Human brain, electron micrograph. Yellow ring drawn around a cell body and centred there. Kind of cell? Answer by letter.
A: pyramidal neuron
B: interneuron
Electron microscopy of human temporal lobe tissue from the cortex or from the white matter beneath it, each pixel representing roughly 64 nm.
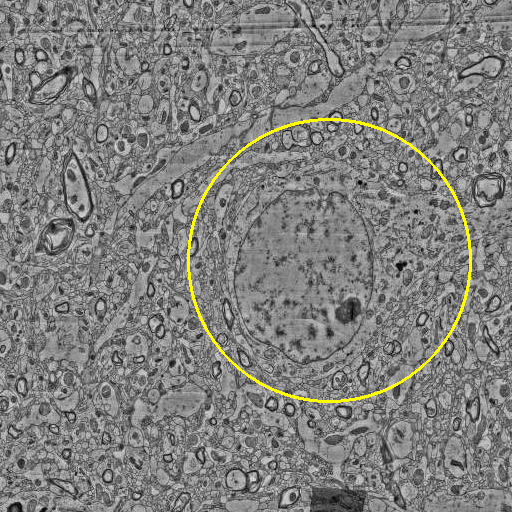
A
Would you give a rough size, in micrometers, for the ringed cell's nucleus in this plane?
The nucleus comes to roughly 11 by 9 micrometres in this plane.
